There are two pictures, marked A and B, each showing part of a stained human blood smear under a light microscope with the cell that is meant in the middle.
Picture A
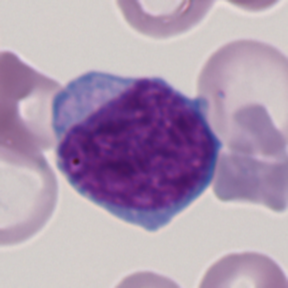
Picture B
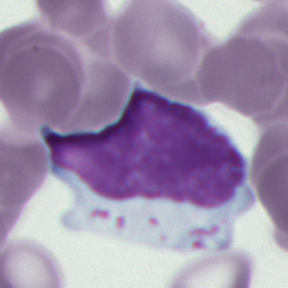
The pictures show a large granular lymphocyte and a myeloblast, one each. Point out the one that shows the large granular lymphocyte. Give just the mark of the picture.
B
